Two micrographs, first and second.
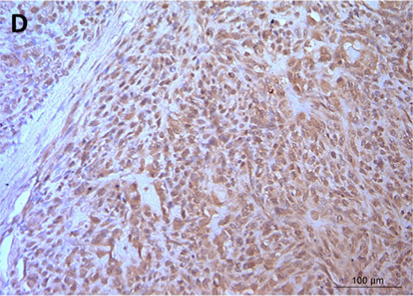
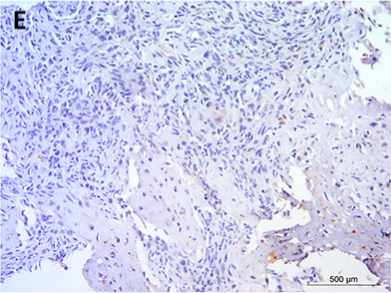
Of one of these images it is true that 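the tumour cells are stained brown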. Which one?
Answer: The first image.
